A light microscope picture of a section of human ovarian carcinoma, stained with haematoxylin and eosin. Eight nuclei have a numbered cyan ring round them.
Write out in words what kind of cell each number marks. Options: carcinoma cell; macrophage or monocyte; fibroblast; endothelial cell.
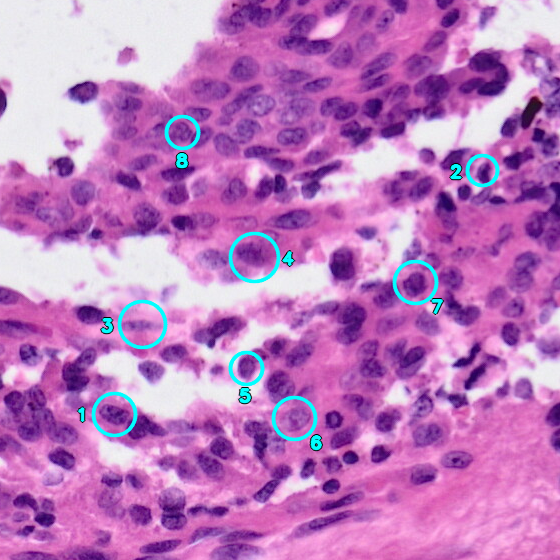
Cell 1 is a macrophage or monocyte, cell 2 is a macrophage or monocyte, cell 3 is a macrophage or monocyte, cell 4 is a carcinoma cell, cell 5 is a carcinoma cell, cell 6 is a carcinoma cell, cell 7 is a carcinoma cell and cell 8 is a carcinoma cell.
